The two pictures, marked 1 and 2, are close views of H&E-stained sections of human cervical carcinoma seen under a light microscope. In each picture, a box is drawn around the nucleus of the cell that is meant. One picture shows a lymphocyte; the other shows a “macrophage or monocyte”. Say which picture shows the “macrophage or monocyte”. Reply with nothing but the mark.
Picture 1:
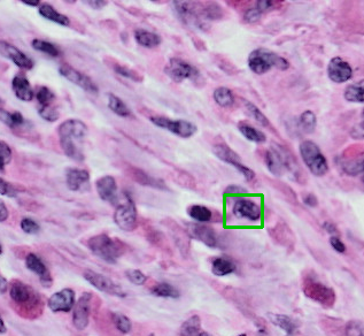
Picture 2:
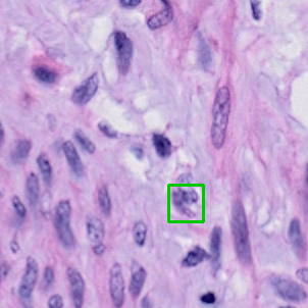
2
